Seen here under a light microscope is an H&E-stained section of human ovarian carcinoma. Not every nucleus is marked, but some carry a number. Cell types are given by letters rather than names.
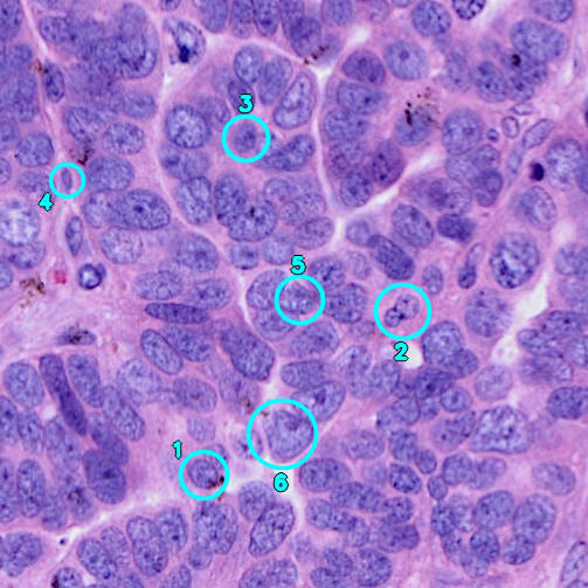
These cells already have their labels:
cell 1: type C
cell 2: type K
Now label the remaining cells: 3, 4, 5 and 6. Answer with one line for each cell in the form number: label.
3: type C
4: type K
5: type C
6: type C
